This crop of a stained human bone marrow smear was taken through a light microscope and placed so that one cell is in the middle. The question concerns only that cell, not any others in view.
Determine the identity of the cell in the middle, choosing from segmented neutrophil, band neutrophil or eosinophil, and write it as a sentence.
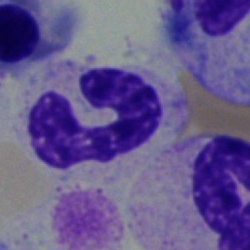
The central cell shown in this smear crop is a band neutrophil.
